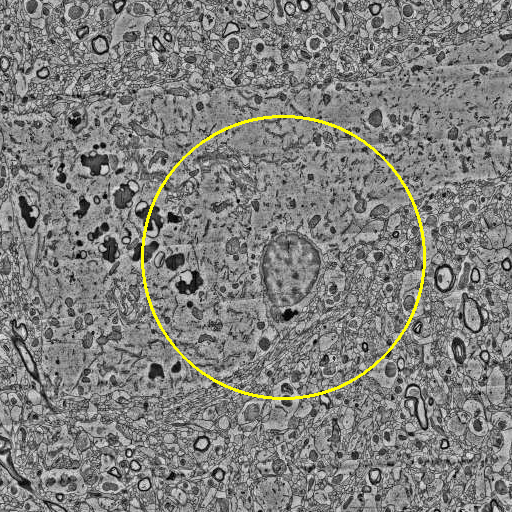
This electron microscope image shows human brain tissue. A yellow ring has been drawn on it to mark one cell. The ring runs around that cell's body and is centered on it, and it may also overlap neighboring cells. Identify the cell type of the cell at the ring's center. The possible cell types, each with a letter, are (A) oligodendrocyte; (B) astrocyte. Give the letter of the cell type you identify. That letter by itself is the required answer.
A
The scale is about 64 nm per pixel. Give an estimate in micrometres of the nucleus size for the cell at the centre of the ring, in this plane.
The nucleus comes to roughly 5 by 4 micrometres in this plane.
